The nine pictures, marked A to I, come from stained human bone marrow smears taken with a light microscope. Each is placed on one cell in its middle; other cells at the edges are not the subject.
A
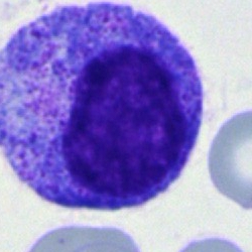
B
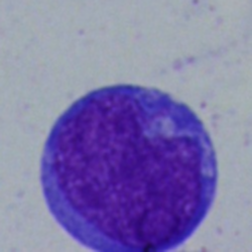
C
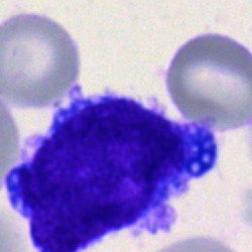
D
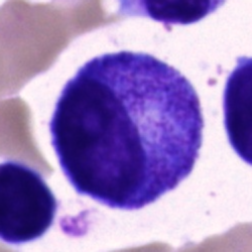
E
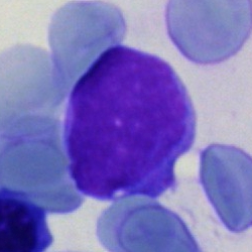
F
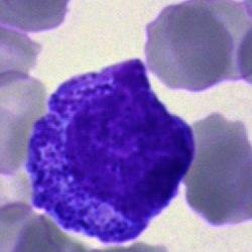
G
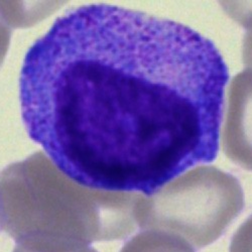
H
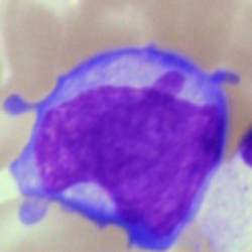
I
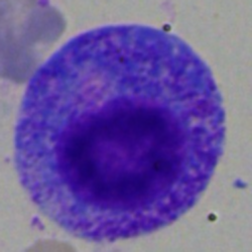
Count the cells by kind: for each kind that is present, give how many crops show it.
promyelocyte: 5
blast: 4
